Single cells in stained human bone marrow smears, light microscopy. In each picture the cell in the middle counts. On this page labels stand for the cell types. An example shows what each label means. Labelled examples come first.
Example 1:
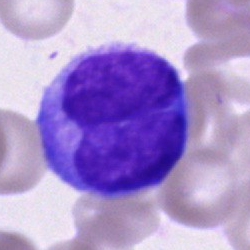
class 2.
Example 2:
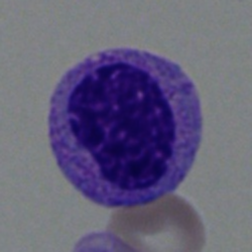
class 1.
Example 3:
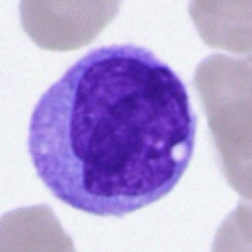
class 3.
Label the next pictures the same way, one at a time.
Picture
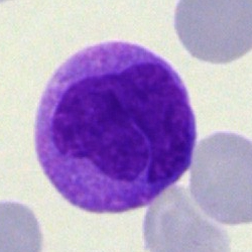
class 2.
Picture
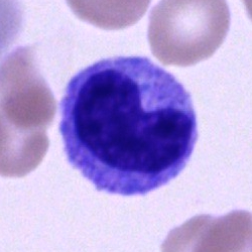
class 1.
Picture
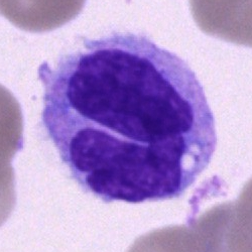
class 2.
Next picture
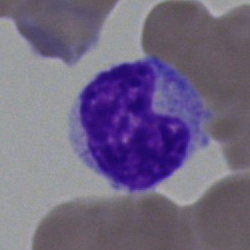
class 1.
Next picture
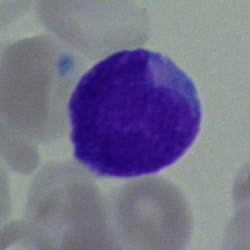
class 3.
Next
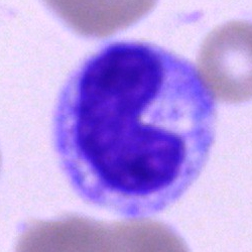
class 1.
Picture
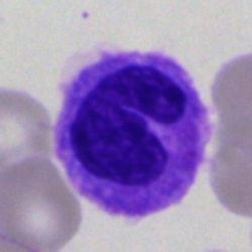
class 2.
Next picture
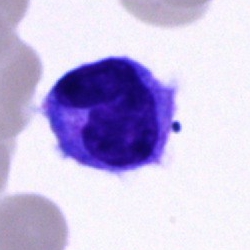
class 2.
